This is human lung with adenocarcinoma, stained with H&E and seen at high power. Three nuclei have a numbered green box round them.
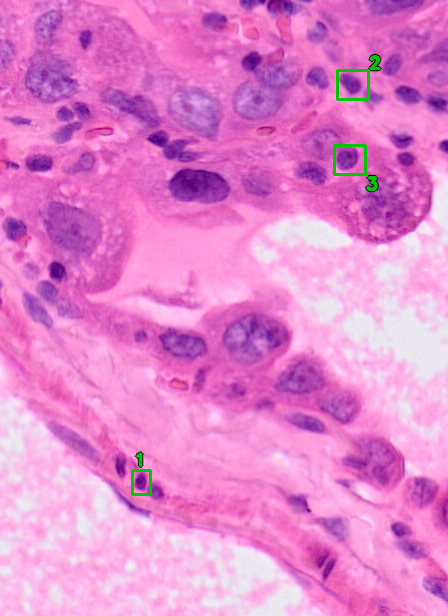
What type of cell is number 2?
lymphocyte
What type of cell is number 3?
lymphocyte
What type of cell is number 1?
smooth muscle cell or pericyte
